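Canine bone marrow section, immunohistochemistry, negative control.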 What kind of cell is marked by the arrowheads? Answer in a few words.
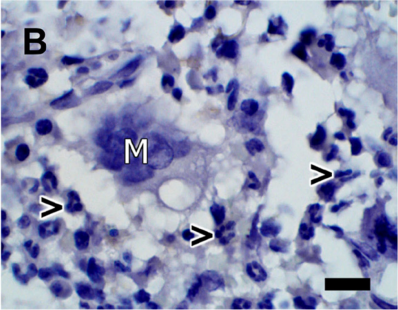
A: granulocytes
